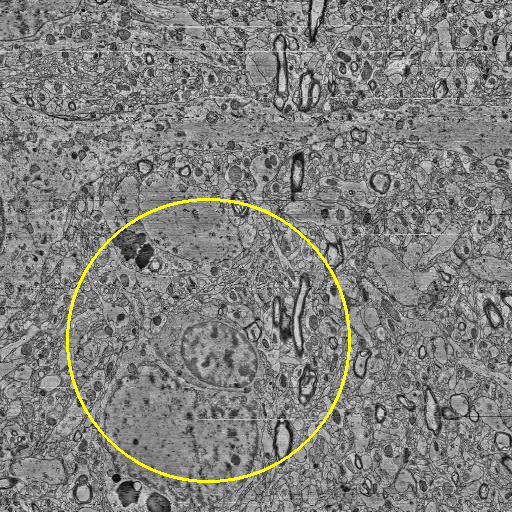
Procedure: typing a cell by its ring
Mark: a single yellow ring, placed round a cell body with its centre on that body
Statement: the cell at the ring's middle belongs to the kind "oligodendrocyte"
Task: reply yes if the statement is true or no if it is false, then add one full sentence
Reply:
Yes, this is true: the cell at the ring's centre in the picture belongs to that kind.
